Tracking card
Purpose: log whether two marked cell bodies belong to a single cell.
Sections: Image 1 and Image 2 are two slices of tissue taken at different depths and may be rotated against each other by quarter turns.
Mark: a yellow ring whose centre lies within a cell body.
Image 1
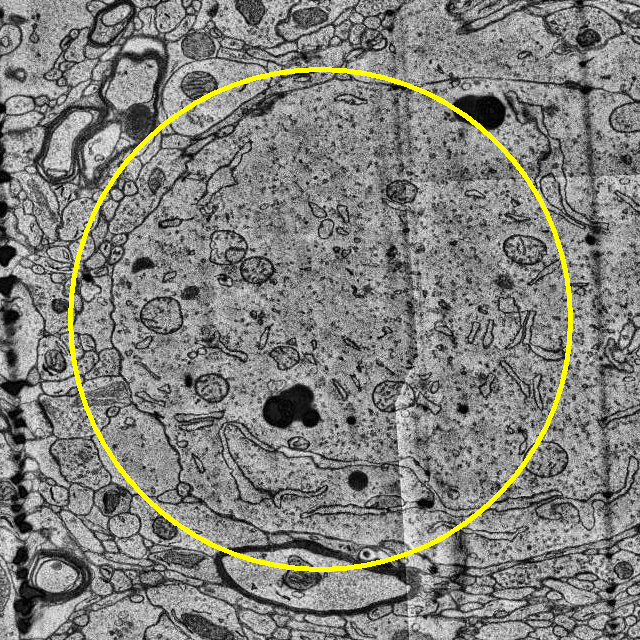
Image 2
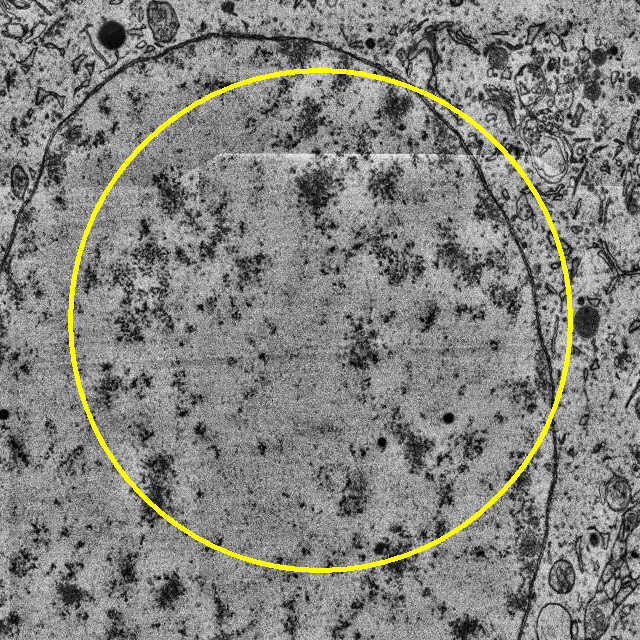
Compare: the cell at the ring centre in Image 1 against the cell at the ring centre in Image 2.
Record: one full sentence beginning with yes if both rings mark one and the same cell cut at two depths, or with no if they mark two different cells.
No, one ring marks one cell and the other ring marks another.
